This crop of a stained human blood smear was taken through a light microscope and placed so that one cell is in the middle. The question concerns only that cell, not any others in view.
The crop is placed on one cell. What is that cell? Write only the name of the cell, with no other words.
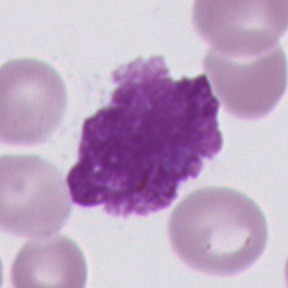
smudge cell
